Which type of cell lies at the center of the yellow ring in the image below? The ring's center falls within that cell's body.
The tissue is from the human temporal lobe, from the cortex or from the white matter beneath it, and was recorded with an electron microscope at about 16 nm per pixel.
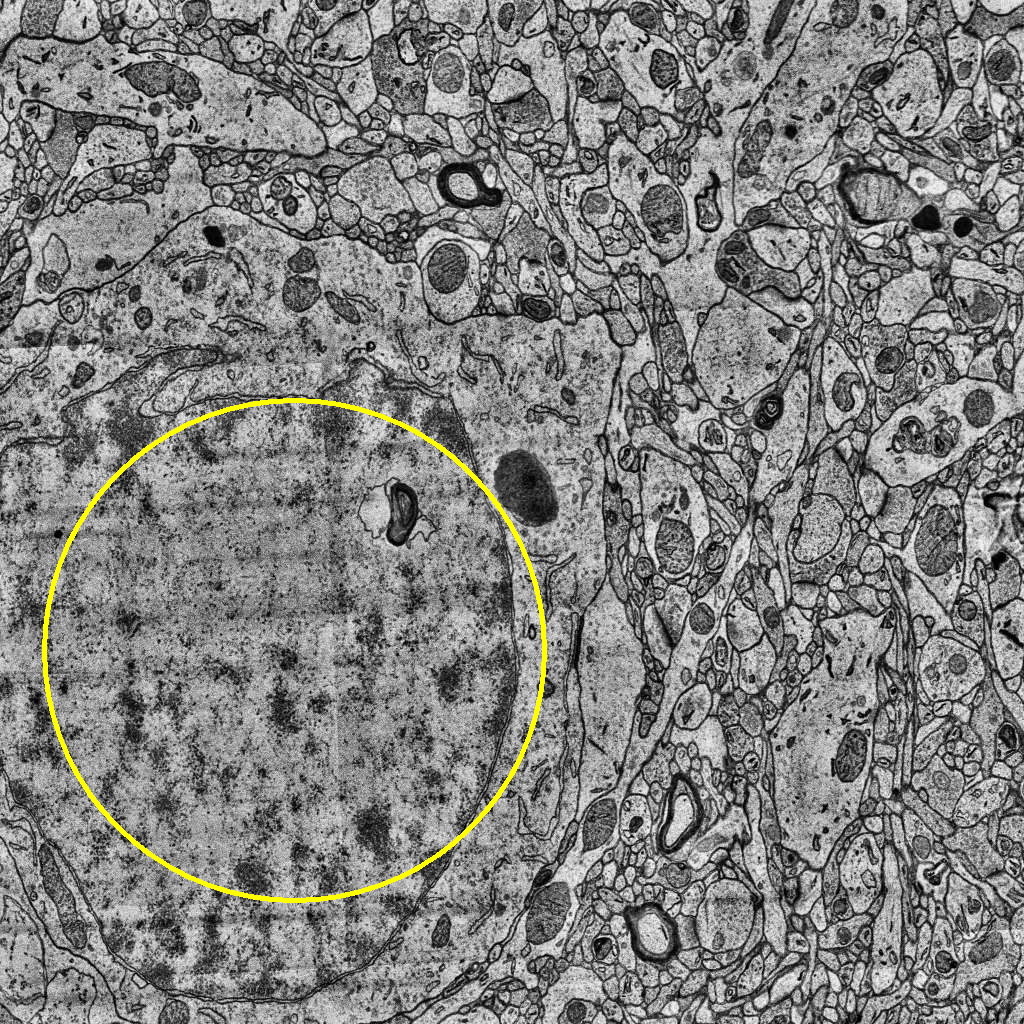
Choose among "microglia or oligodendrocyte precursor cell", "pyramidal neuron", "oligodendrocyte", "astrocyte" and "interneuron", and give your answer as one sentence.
The cell body at the center belongs to an interneuron.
